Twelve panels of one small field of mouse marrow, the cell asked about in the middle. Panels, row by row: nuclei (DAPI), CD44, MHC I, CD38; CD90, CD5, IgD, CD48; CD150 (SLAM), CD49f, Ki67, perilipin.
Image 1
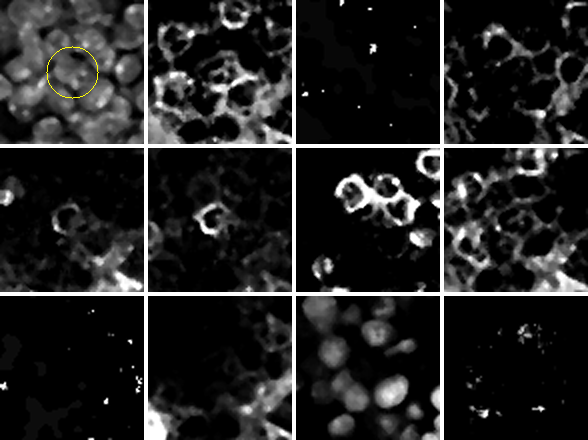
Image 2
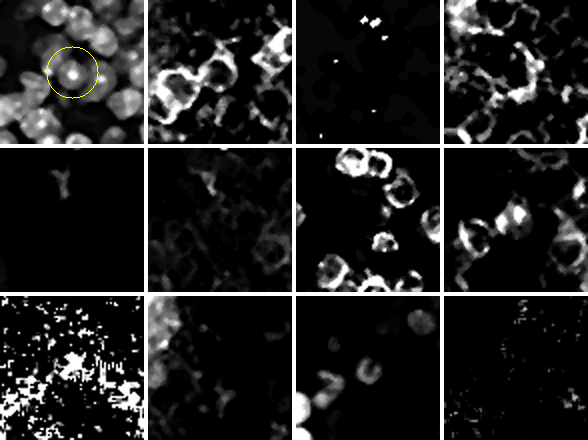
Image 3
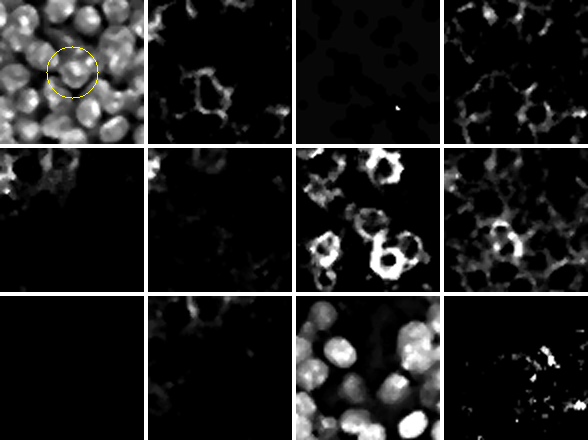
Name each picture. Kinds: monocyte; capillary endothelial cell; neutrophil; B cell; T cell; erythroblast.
Picture 1: T cell
Picture 2: monocyte
Picture 3: B cell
